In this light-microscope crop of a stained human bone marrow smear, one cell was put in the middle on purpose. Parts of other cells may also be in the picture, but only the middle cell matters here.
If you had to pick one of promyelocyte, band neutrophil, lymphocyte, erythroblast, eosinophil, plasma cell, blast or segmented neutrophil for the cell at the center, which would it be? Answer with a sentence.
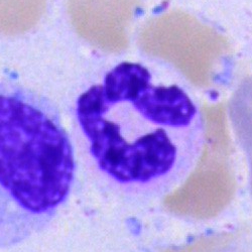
For this crop, the central cell is a segmented neutrophil.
